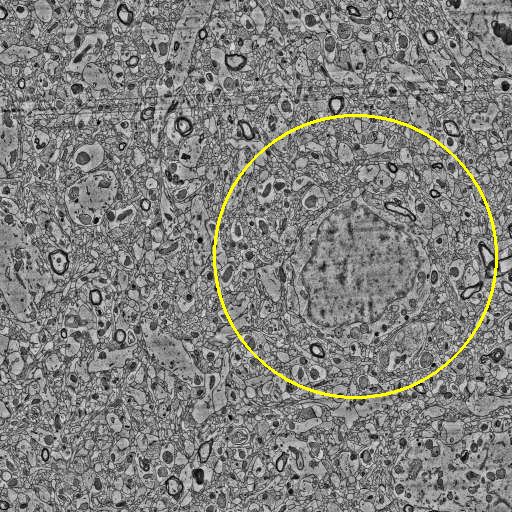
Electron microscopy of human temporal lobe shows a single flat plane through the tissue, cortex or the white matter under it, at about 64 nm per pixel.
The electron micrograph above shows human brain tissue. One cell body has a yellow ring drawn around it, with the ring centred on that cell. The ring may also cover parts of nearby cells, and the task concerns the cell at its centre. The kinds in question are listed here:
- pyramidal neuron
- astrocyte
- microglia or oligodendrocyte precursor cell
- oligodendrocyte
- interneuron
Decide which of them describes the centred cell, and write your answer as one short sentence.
The centred cell is an interneuron.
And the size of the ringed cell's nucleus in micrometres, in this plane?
The nucleus works out at approximately 8 by 7 micrometres in this plane.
